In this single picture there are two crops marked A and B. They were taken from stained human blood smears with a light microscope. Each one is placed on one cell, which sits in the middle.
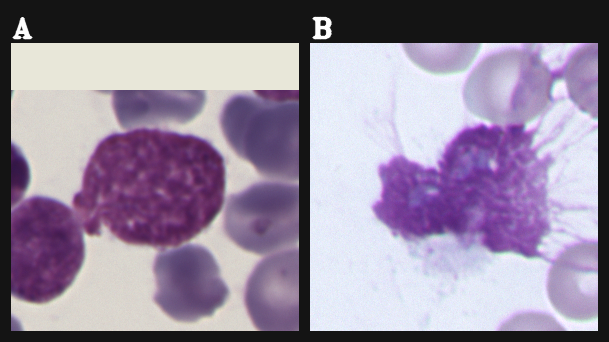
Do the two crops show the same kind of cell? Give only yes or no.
no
